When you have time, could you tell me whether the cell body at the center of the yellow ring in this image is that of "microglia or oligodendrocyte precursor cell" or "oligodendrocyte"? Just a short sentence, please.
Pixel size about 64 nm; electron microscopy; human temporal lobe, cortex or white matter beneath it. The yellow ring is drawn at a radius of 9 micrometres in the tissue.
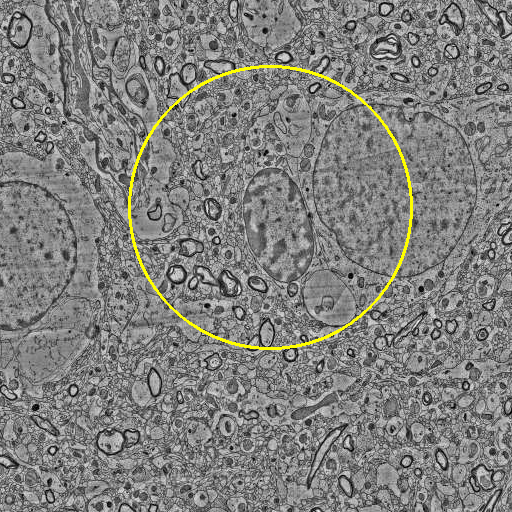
The cell body at the center of the ring is that of a microglial cell or oligodendrocyte precursor cell.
